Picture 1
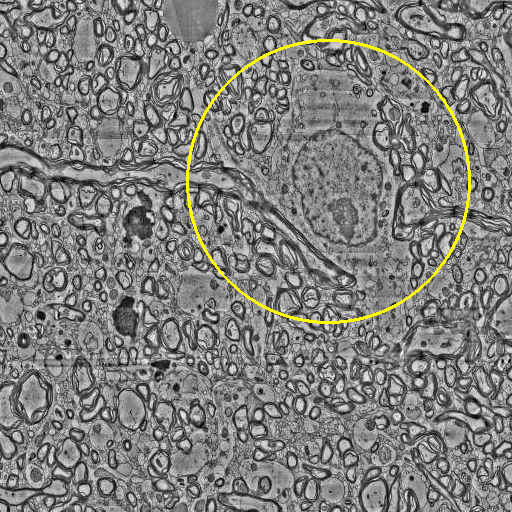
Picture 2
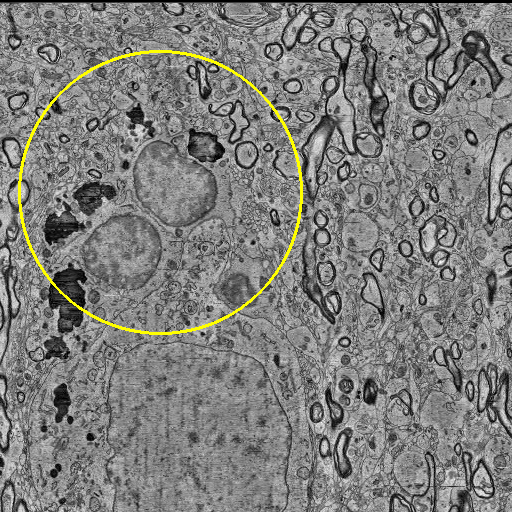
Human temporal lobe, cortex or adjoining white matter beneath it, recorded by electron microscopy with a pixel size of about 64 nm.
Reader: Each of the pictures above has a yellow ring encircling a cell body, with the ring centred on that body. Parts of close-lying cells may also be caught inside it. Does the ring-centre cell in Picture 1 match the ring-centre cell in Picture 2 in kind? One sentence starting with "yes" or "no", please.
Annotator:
No, Picture 1 and Picture 2 show ring-centre cells of two kinds.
